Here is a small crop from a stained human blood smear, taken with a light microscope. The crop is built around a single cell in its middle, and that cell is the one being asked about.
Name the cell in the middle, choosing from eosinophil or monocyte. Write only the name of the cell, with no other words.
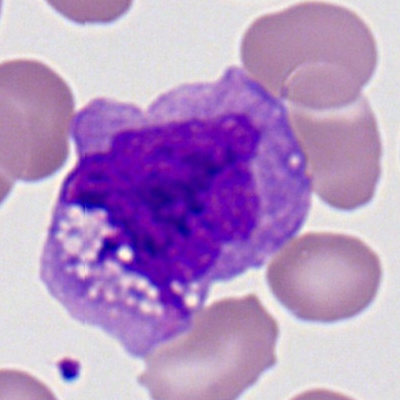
monocyte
